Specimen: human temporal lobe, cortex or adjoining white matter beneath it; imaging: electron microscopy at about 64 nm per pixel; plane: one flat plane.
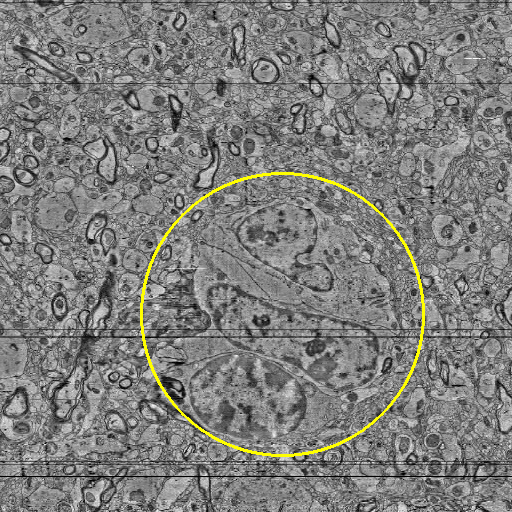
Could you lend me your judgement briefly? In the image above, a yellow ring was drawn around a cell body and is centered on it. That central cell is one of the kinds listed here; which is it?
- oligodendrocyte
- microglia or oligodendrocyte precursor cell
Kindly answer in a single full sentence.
Going by the list, a microglial cell or oligodendrocyte precursor cell is the kind at the ring's center in the picture.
